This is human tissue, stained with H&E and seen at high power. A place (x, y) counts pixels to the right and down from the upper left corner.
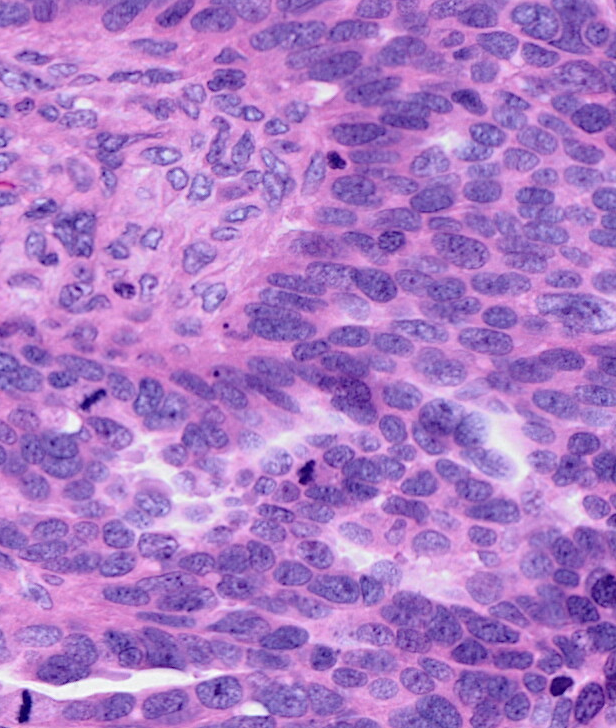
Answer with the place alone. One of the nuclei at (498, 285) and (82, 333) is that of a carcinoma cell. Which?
(498, 285)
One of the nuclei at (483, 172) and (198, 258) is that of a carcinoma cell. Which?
(483, 172)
